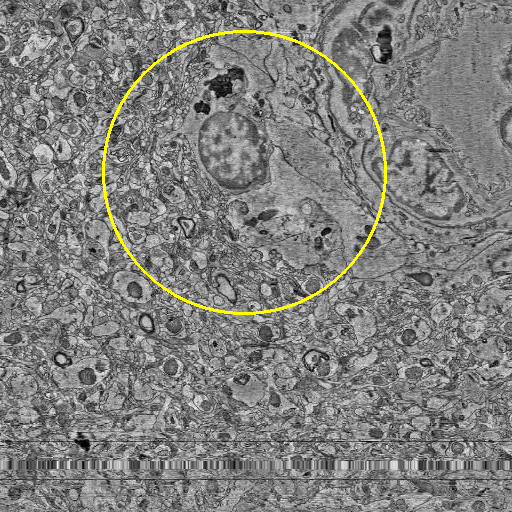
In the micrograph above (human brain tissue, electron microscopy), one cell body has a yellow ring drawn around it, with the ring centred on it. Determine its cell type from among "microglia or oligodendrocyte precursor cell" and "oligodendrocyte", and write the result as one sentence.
The cell whose body is ringed is an oligodendrocyte.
